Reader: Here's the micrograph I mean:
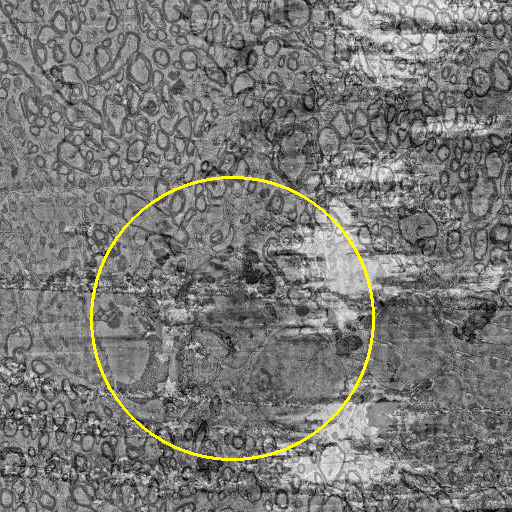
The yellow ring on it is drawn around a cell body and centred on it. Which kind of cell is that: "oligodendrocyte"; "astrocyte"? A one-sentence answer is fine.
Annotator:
The ring is centred on an oligodendrocyte.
